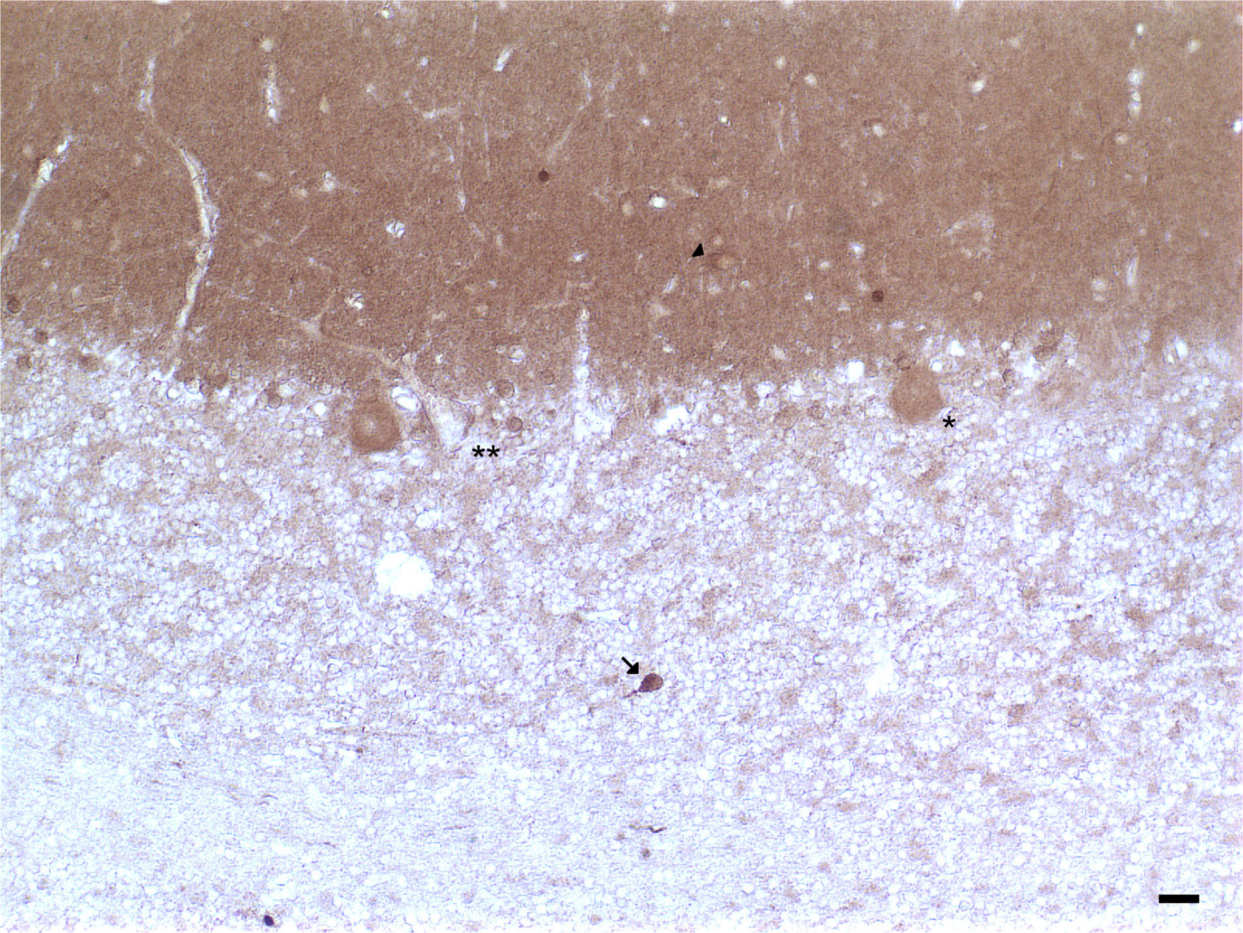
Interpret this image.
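This is cerebellar cortex, with the molecular layer above, a row of Purkinje neuron cell bodies along its lower border, and the granular layer below. The molecular layer is filled with dense brown neuropil in which scattered small neurons and pale vessels lie, while the large rounded Purkinje cell bodies sit in a single line at the edge of the granular layer. The granular layer is paler and packed with many small round profiles, among which lies an occasional small, darkly stained cell with a thin process.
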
